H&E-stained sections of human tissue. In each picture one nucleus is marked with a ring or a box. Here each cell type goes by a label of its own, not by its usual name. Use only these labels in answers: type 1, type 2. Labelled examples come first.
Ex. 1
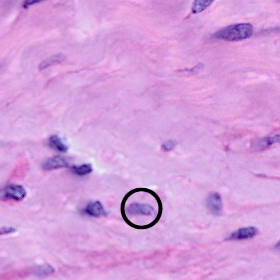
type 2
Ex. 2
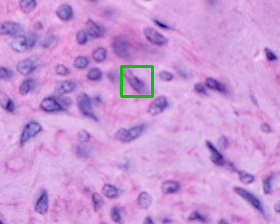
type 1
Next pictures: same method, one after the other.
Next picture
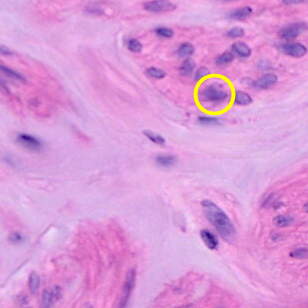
type 1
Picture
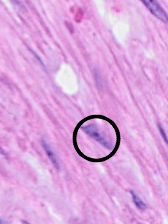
type 2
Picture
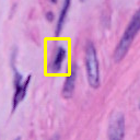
type 1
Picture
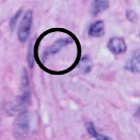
type 2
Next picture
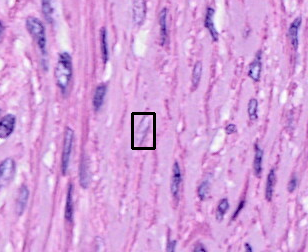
type 2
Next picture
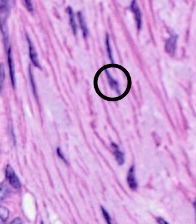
type 2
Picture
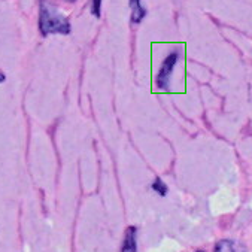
type 2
